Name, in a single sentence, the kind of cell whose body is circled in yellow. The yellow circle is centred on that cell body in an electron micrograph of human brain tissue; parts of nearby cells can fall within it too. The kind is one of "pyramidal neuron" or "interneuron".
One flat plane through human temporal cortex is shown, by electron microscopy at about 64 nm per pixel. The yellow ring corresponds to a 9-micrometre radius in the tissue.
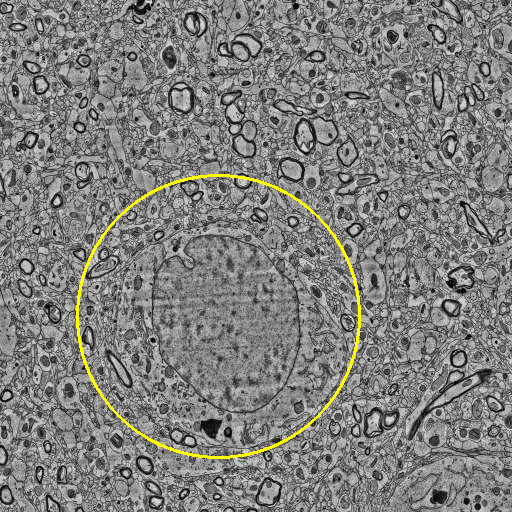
The circled cell body belongs to a pyramidal neuron.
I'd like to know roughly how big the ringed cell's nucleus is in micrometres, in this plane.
In this plane, approximately 12 by 9 micrometers.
